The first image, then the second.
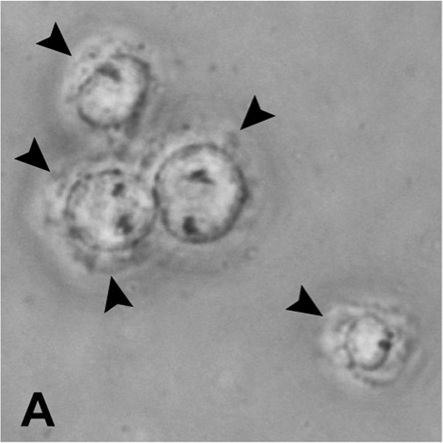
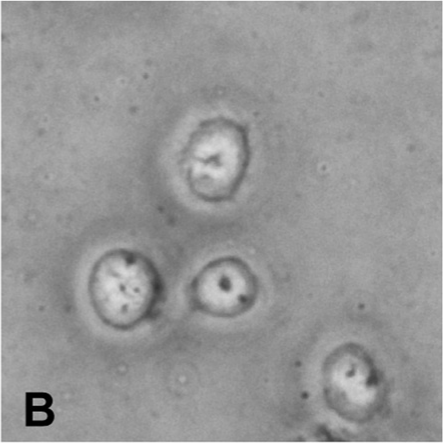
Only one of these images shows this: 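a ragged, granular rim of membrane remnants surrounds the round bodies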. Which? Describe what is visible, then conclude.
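The first image. Second image: the round bodies have smooth, clean outlines with no surrounding material. First image: the round bodies are wrapped in an irregular, grainy halo of material.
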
